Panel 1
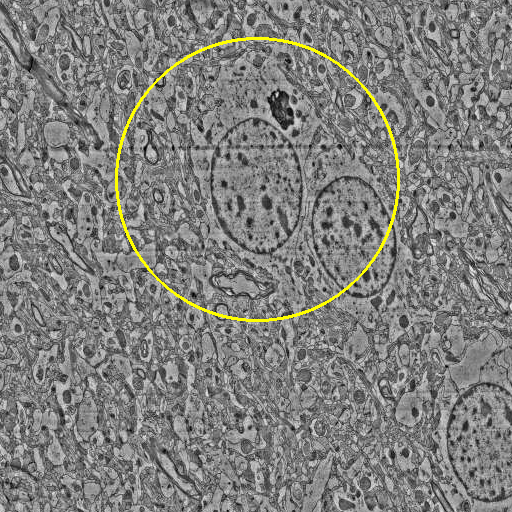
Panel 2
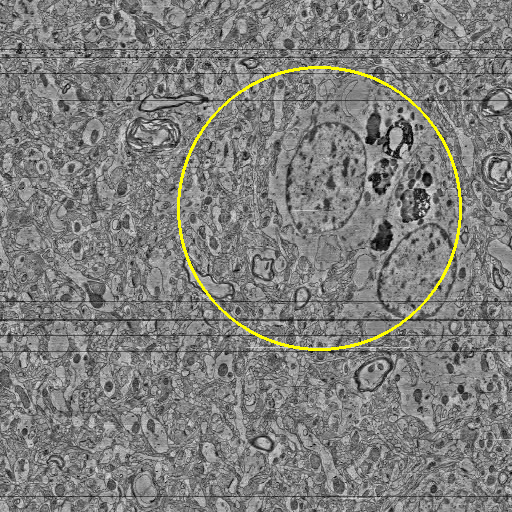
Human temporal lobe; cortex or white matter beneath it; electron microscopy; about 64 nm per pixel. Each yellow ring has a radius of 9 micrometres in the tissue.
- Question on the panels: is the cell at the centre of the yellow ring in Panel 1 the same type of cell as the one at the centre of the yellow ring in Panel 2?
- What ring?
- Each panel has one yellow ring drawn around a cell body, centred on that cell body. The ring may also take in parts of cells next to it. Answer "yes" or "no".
yes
